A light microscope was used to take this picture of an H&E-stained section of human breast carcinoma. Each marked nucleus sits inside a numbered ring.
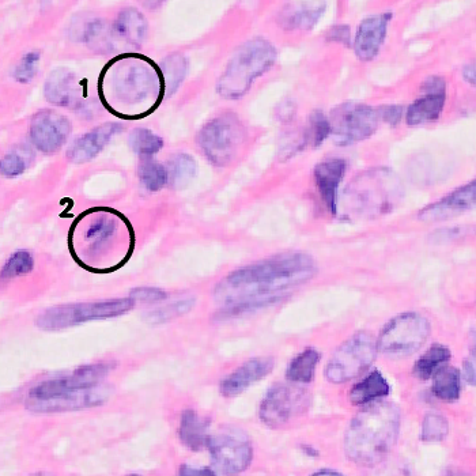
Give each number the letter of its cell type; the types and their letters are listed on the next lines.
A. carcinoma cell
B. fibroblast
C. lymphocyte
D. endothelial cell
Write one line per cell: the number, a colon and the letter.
1: A
2: D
